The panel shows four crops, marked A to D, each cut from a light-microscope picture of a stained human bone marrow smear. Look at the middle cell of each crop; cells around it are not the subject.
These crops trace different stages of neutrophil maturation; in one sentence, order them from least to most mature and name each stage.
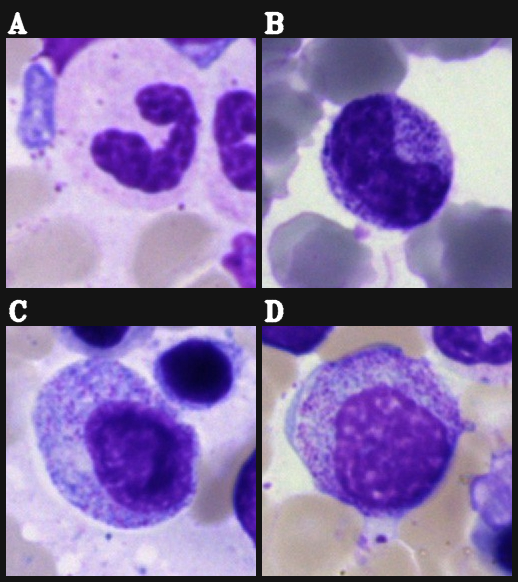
The arrangement from least to most mature is crop C (a promyelocyte), crop D (a myelocyte), crop B (a metamyelocyte) and crop A (a segmented neutrophil).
